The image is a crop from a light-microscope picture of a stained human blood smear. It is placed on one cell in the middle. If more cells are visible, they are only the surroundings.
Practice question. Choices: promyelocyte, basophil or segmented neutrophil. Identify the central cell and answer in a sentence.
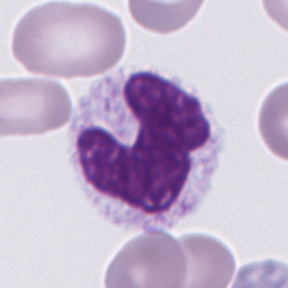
The center cell of this crop is a segmented neutrophil.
